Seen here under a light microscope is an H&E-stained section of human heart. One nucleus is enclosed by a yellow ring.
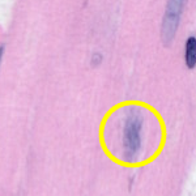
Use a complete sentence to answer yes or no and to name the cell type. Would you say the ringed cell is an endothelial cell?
Yes, the ringed cell has been classified as an endothelial cell.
